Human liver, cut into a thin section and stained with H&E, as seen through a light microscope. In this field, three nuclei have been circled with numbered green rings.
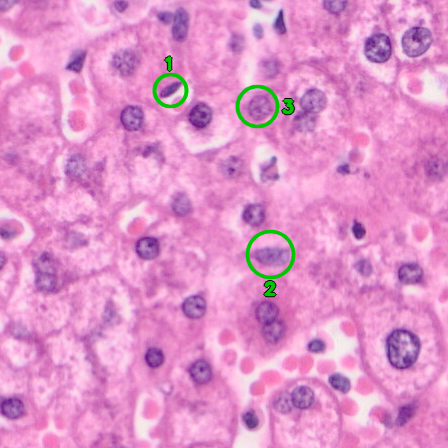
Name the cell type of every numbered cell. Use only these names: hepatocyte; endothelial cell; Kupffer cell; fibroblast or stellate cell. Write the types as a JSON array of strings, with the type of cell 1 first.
["endothelial cell", "Kupffer cell", "hepatocyte"]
